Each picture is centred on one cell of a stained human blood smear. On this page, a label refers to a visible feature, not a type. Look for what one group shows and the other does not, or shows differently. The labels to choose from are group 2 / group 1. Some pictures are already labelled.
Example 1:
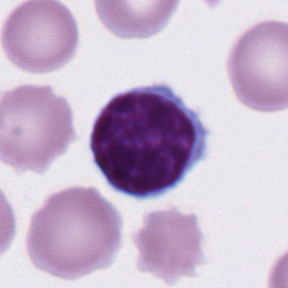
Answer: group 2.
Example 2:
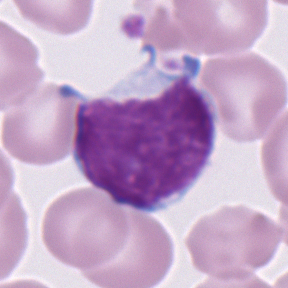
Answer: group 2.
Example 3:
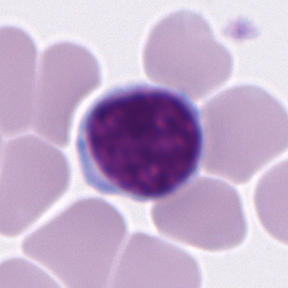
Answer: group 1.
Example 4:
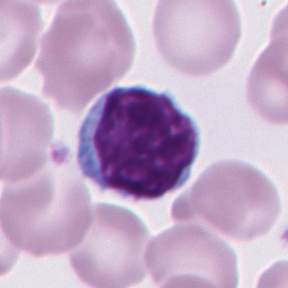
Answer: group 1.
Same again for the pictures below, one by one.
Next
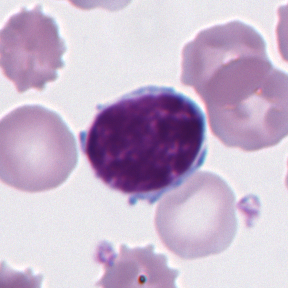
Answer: group 2.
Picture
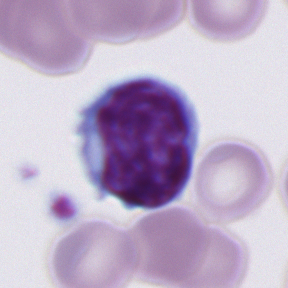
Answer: group 2.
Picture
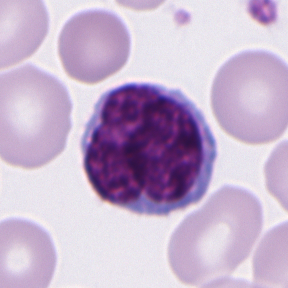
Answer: group 1.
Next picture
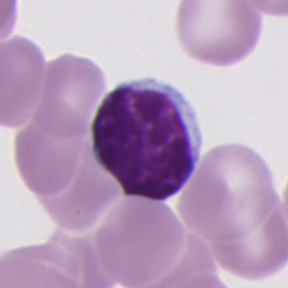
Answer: group 1.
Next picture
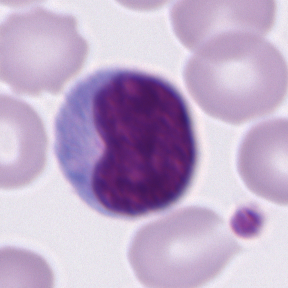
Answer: group 1.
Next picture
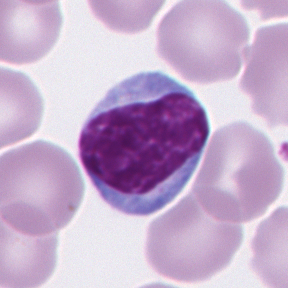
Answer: group 1.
